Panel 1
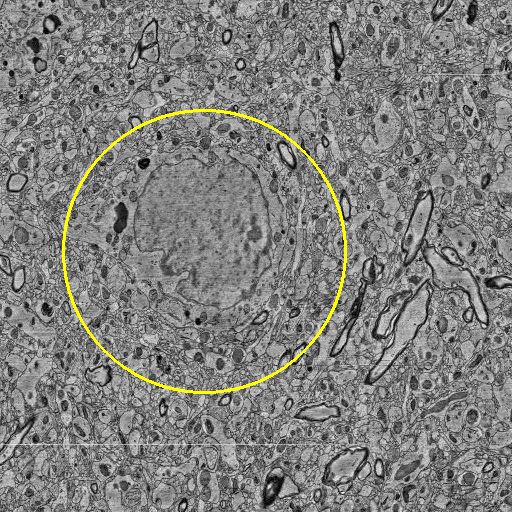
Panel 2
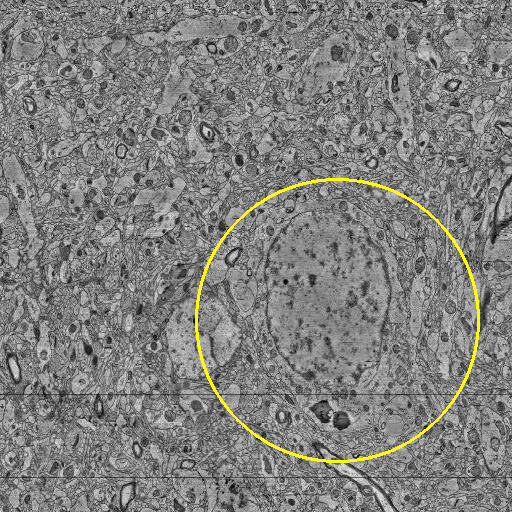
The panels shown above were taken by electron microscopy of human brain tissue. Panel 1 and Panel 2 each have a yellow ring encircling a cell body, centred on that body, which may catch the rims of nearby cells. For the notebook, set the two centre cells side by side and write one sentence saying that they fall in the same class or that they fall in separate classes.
The centred cells of Panel 1 and Panel 2 fall in the same class.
